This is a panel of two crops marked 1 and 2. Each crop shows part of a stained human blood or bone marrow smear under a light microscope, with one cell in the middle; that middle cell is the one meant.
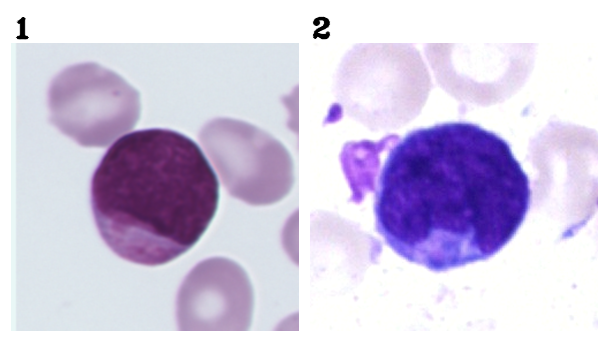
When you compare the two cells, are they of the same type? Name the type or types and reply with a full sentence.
Yes, both crops alike show blasts at the centre.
